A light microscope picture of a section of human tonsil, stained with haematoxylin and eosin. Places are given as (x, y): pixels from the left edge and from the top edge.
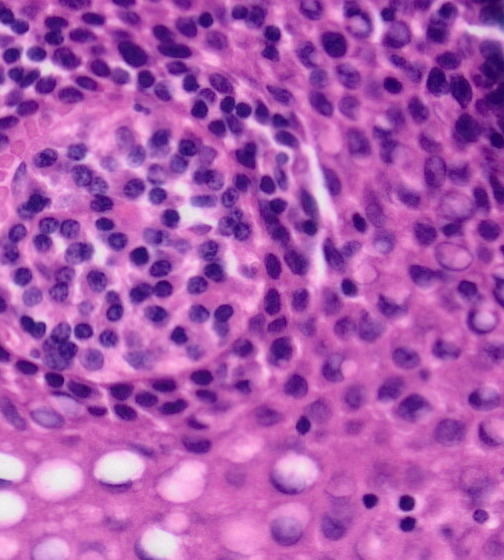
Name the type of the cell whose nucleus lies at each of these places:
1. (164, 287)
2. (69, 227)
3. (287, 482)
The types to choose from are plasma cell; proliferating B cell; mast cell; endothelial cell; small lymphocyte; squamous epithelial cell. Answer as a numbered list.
1. plasma cell
2. plasma cell
3. squamous epithelial cell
